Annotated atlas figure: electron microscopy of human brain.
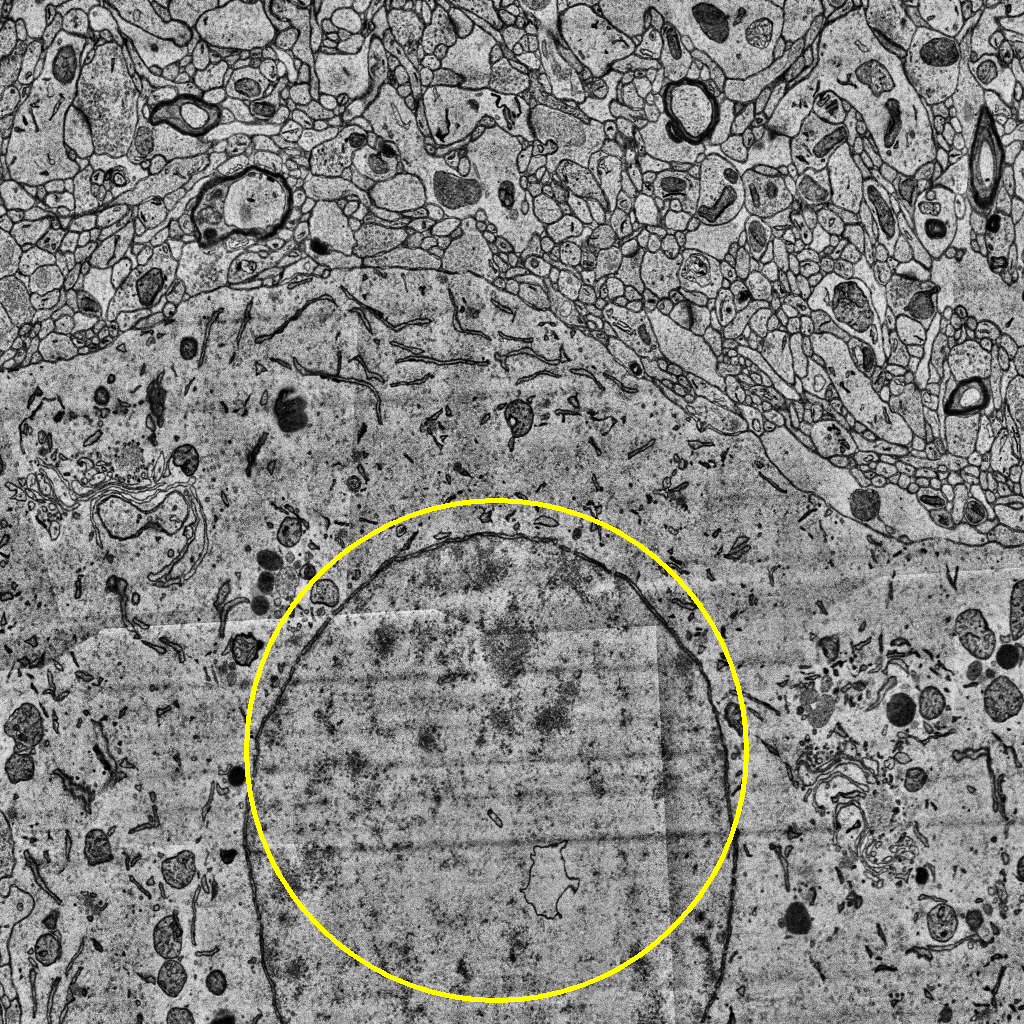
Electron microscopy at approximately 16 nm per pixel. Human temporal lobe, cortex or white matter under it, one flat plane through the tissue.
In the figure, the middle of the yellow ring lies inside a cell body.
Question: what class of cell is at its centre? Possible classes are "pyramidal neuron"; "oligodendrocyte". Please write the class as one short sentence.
The yellow ring's centre lies in a pyramidal neuron.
